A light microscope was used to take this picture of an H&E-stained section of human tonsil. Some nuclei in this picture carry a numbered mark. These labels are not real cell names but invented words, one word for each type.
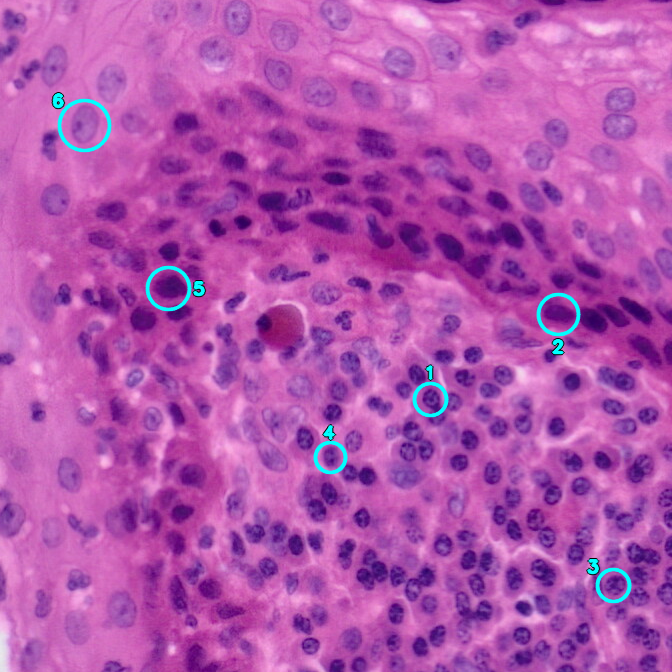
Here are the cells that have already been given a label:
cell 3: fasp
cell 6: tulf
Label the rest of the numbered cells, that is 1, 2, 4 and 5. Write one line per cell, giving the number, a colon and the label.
1: fasp
2: tulf
4: fasp
5: tulf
